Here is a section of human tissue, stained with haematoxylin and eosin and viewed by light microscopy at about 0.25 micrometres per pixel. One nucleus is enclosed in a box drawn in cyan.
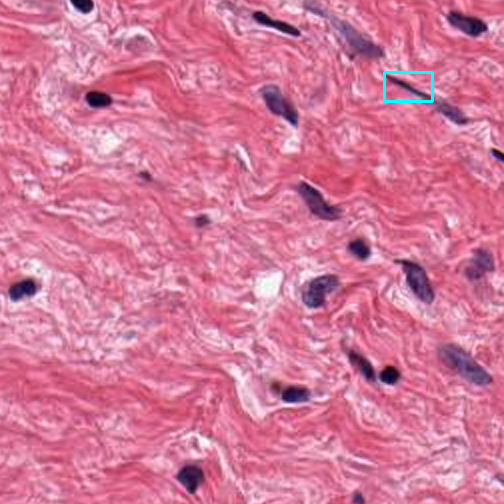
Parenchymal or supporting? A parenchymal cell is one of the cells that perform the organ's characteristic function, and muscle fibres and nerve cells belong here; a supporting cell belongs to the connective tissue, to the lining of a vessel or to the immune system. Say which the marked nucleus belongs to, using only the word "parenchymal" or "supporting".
supporting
